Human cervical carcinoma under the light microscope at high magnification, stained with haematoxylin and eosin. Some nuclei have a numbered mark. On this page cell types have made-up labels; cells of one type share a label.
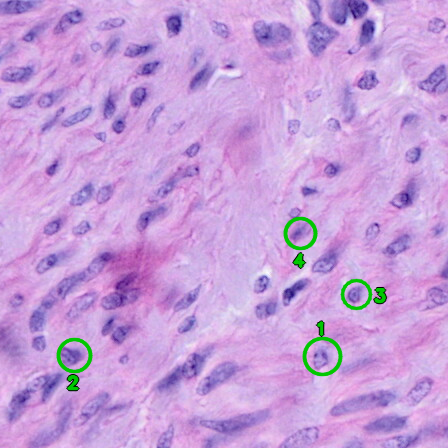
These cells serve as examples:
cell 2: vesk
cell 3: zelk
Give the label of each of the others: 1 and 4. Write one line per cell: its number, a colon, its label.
1: zelk
4: zelk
